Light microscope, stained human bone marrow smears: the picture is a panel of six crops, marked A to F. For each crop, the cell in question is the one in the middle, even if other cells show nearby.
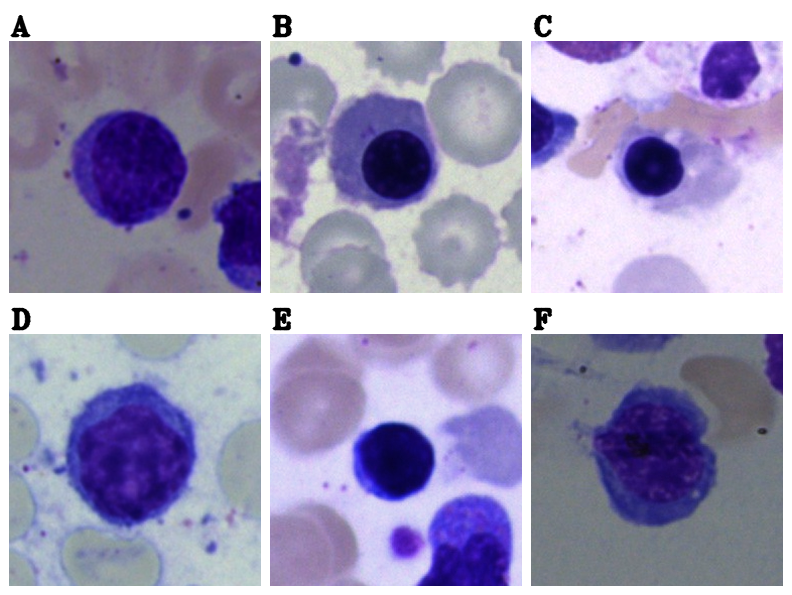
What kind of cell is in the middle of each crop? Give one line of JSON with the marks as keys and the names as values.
{"A": "lymphocyte", "B": "normoblast", "C": "normoblast", "D": "lymphocyte", "E": "lymphocyte", "F": "normoblast"}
